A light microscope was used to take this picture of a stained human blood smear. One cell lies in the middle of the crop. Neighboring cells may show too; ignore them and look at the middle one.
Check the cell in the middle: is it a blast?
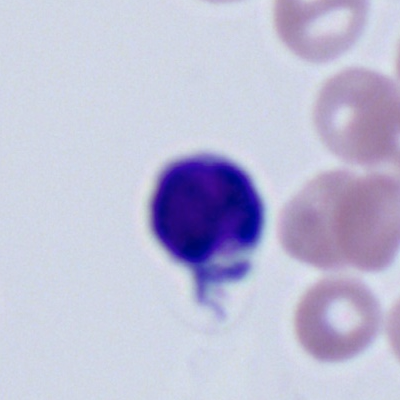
no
